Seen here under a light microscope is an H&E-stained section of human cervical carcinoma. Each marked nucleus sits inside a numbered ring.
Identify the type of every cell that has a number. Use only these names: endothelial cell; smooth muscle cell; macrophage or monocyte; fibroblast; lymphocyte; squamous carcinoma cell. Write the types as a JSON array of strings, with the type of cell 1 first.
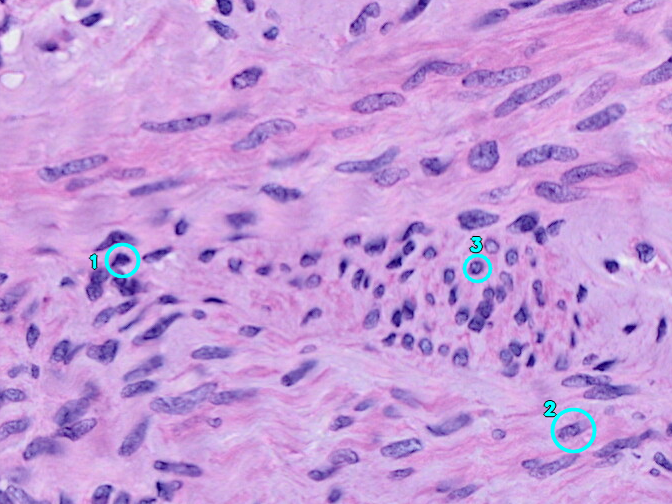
["fibroblast", "smooth muscle cell", "smooth muscle cell"]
